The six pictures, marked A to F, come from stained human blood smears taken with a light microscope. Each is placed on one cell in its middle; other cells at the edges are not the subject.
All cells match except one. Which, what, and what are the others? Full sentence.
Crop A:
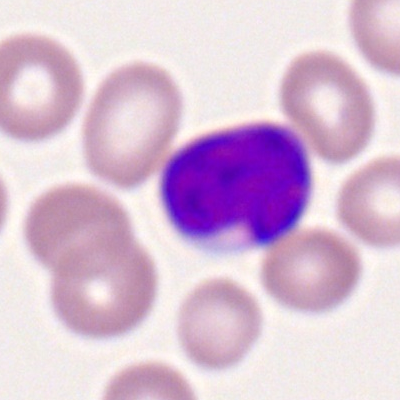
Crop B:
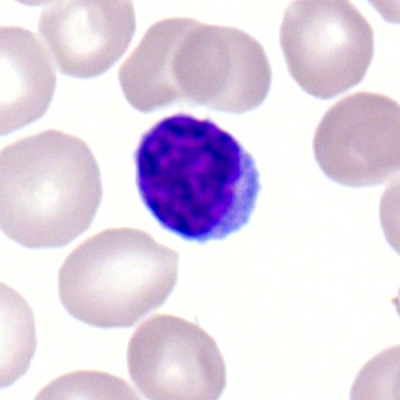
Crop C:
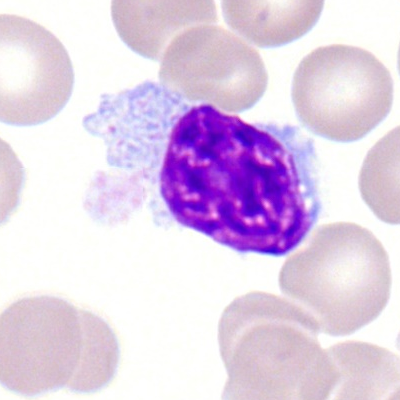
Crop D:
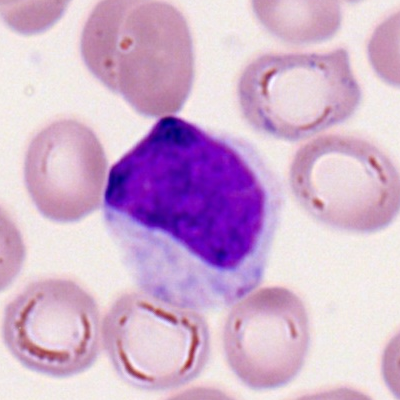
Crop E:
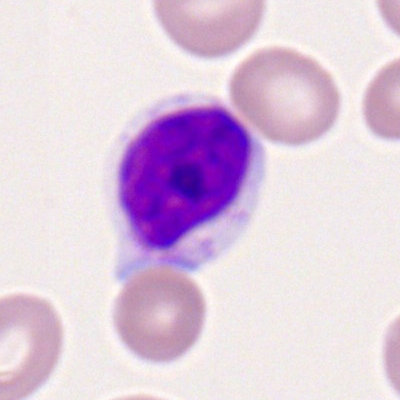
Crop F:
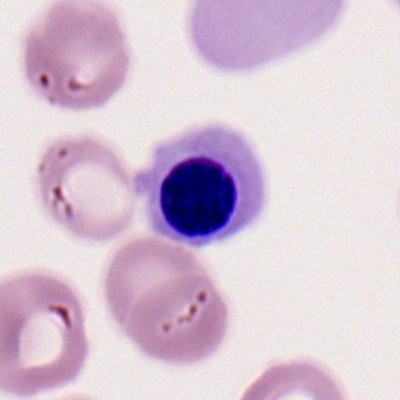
Crop F differs, its cell being an erythroblast, whereas the other crops show lymphocytes.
